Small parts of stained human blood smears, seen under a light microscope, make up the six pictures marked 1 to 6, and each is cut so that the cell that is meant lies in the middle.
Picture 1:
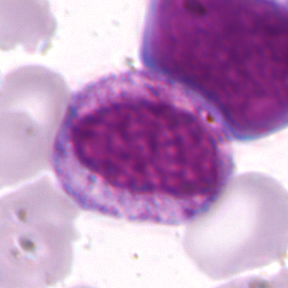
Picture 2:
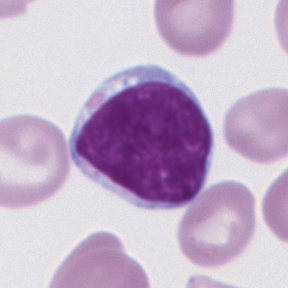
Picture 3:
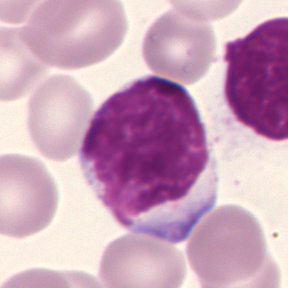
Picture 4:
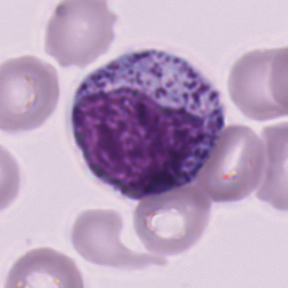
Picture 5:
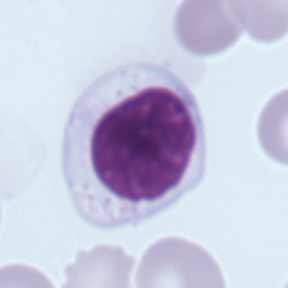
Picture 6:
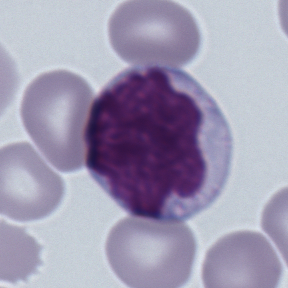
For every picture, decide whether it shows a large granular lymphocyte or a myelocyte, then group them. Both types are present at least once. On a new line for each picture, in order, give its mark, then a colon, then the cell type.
1: myelocyte
2: large granular lymphocyte
3: large granular lymphocyte
4: myelocyte
5: large granular lymphocyte
6: large granular lymphocyte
